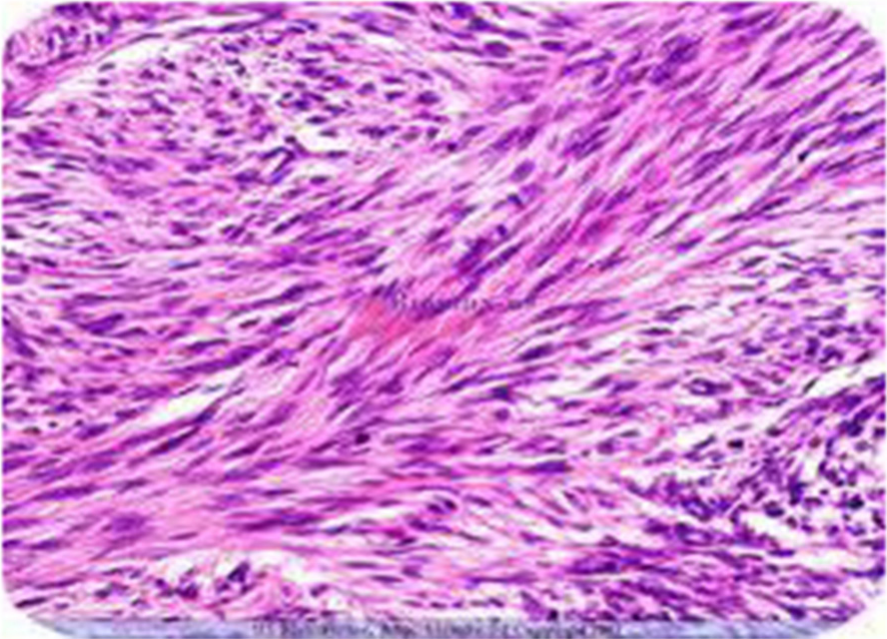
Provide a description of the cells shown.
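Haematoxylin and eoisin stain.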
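Densely cellular tumour of spindle cells arranged in long, intersecting fascicles that sweep across the field in different directions. The nuclei are elongated, dark purple and crowded, varying in size and shape, with some plumper and darker than others. The cells have pink, fibrillar cytoplasm with indistinct borders, and little stroma lies between the bundles.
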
